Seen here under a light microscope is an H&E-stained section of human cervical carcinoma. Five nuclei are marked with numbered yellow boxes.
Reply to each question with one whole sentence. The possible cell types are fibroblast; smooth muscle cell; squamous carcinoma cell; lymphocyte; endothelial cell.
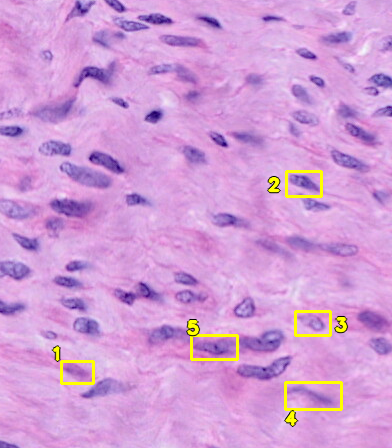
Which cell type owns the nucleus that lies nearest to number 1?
Number 1 lies closest to the nucleus of a fibroblast.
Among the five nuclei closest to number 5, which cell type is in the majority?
The majority of the five nuclei closest to number 5 belong to smooth muscle cells.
